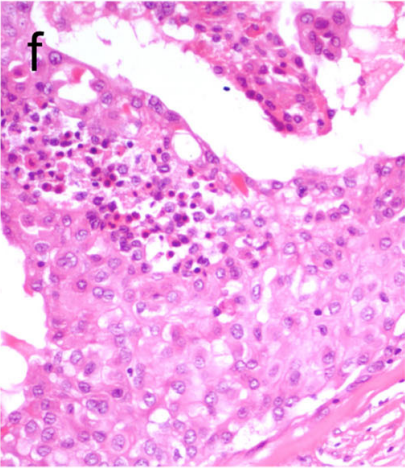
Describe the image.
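Tumor epithelial cells form a solid sheet and are richly infiltrated by inflammatory cells, mostly eosinophils. The epithelial cells are polygonal, with pale pink cytoplasm and round to oval nuclei, some with small nucleoli.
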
